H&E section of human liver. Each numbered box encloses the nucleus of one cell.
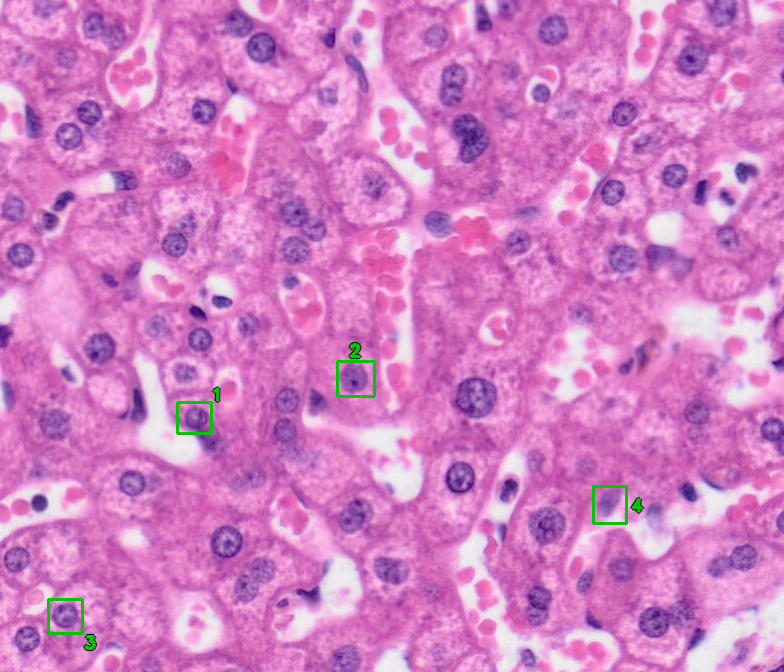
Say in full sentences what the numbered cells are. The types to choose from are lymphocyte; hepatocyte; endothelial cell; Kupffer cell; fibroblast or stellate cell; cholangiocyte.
Cells 1, 2 and 3 are hepatocytes. Cell 4 is an endothelial cell.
